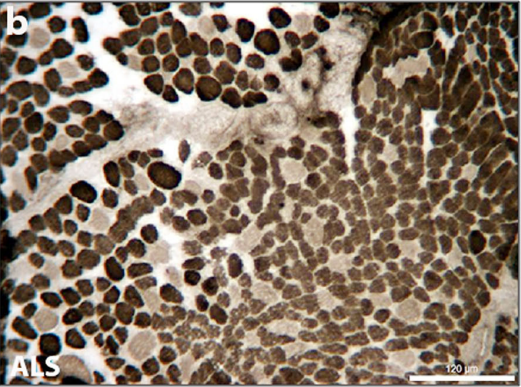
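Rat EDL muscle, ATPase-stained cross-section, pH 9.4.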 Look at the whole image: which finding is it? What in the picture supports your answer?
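Many dark fibres are rounded rather than polygonal. Wide pale spaces separate the rounded fibres.
Rounding, angulation and grouping of type 2 fibres.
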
